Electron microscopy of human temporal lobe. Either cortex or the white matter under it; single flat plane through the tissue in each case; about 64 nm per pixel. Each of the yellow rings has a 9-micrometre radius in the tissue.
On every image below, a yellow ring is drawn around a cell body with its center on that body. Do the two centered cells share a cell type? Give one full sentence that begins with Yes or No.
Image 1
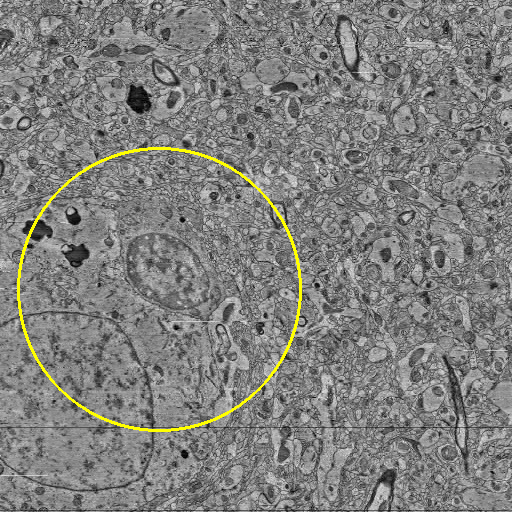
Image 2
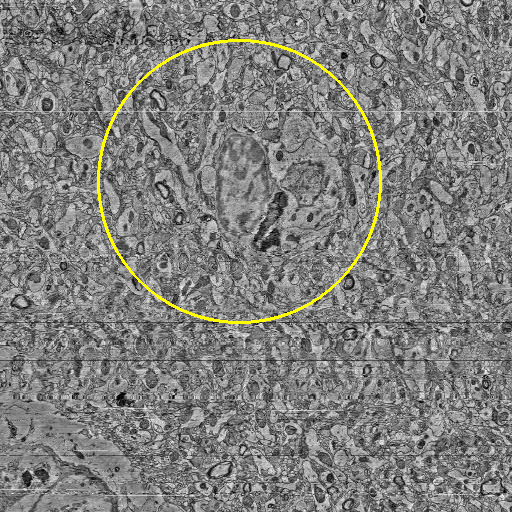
Yes, the centered cells in the two images are of a single cell type.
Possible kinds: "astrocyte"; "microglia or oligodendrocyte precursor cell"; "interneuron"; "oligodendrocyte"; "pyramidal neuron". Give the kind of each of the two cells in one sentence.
Each of the two pictures has an oligodendrocyte at the ring centre.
